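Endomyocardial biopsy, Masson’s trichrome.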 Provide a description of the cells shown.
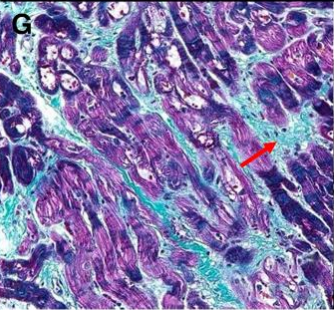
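The fibres run in oblique bundles and have dark nuclei. Blue-green strands of collagen fill the interstitium and wrap around and between the fibres, widening the spaces that separate them. Many fibres show pale, clear spaces within their cytoplasm.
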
